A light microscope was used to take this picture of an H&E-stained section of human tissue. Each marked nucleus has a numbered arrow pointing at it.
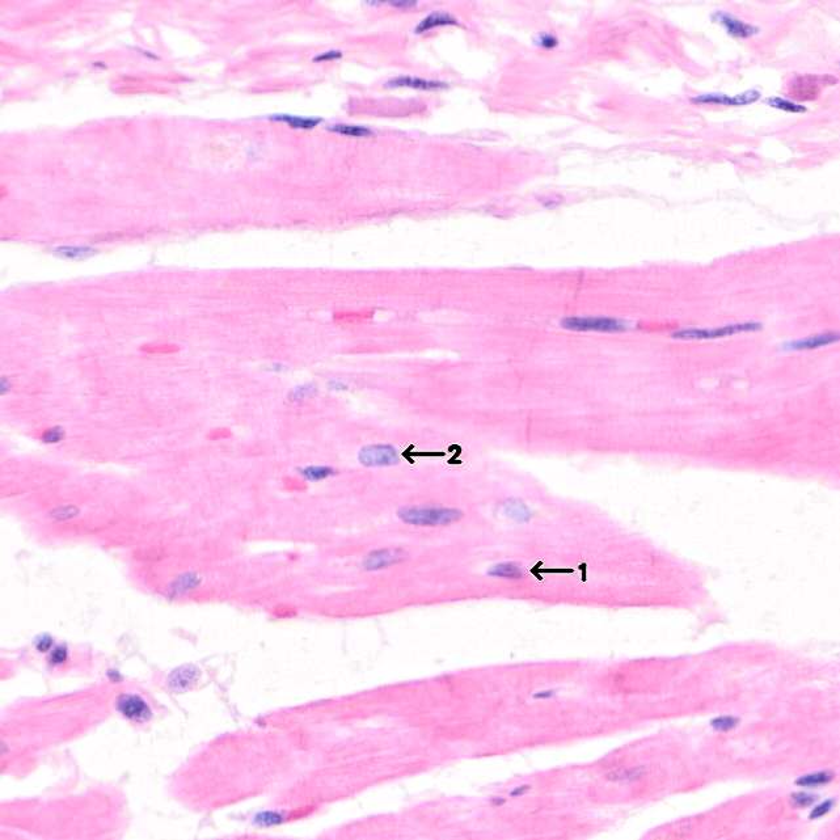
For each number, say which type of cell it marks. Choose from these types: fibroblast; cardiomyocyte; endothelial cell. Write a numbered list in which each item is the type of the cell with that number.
1. endothelial cell
2. cardiomyocyte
